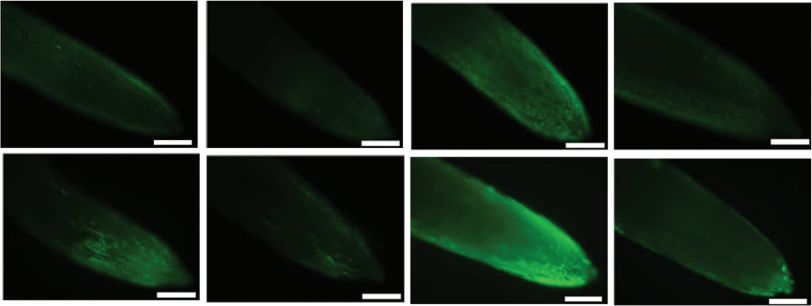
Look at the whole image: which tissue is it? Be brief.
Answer: Roots.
